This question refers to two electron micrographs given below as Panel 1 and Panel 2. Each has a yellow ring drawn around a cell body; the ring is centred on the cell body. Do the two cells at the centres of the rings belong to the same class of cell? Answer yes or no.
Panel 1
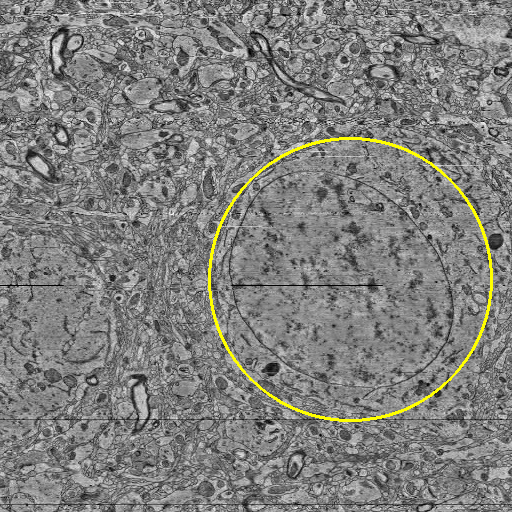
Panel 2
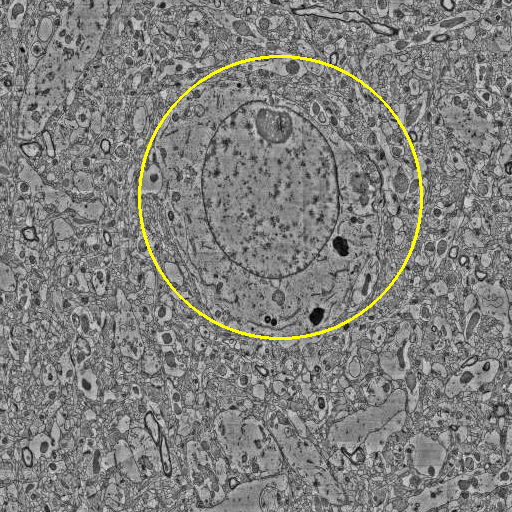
yes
